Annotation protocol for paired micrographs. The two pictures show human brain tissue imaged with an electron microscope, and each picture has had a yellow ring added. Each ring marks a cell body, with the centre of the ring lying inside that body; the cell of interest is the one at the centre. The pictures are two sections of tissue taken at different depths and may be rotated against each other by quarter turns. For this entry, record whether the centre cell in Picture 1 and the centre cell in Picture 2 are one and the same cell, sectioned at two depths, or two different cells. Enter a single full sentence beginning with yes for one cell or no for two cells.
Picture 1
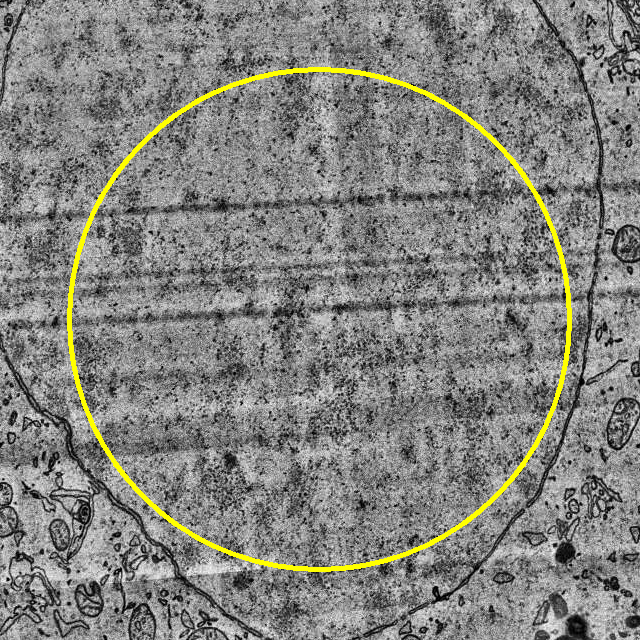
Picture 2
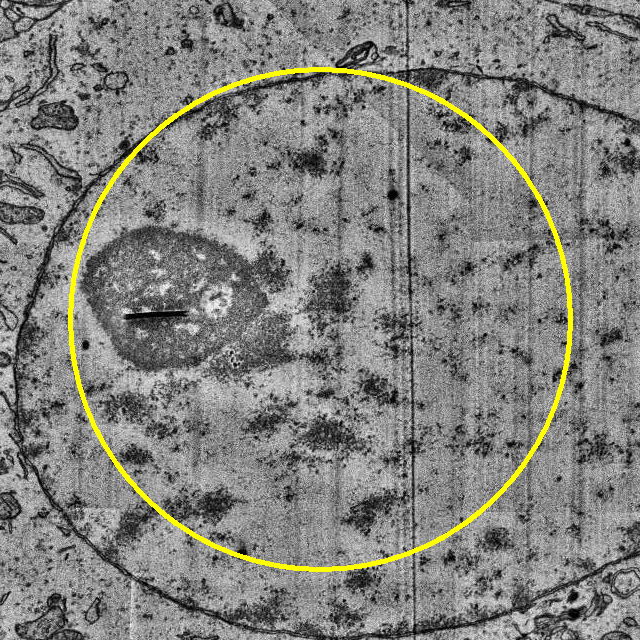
No, the two yellow rings each circle a different cell.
